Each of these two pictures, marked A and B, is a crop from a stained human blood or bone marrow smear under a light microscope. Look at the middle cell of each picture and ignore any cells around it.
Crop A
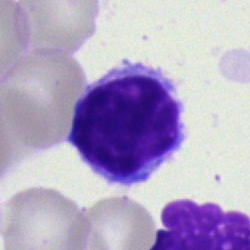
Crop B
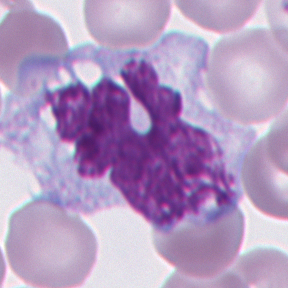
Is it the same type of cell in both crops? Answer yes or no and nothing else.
no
